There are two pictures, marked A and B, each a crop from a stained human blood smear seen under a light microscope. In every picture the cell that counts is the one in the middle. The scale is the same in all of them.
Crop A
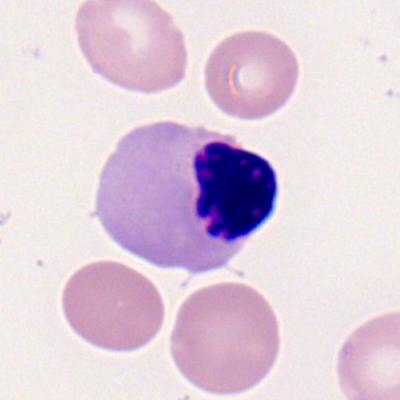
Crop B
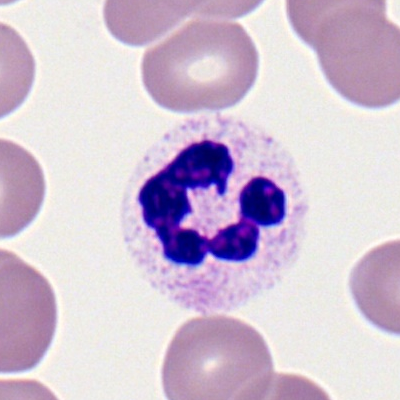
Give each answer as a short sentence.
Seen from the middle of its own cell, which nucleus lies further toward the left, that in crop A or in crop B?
In crop B the nucleus is shifted more toward the left.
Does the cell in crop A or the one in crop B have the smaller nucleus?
The nucleus in crop A is smaller; the one in crop B has about 1.5 times its area.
